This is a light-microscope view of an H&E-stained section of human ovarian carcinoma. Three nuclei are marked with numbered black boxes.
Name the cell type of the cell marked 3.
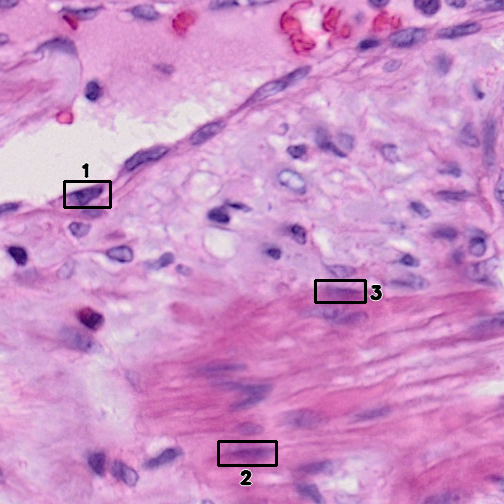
smooth muscle cell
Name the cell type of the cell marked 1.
endothelial cell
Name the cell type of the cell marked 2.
smooth muscle cell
